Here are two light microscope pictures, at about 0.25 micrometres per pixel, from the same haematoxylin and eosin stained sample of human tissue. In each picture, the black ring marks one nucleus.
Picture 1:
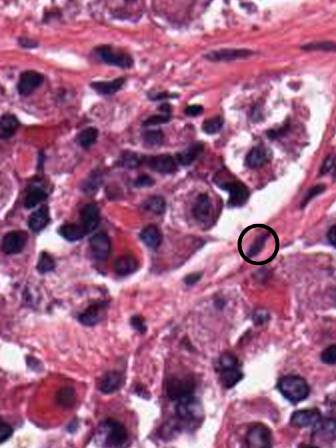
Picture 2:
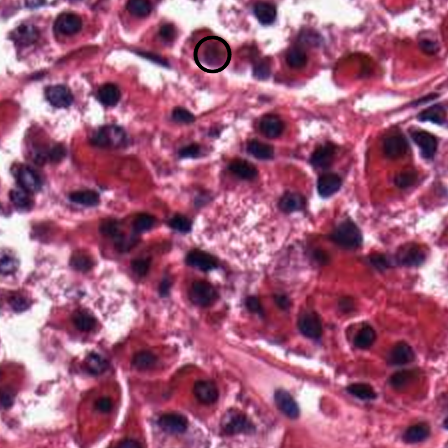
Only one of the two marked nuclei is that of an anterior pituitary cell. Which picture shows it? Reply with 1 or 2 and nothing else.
2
